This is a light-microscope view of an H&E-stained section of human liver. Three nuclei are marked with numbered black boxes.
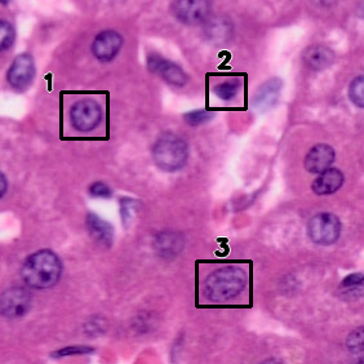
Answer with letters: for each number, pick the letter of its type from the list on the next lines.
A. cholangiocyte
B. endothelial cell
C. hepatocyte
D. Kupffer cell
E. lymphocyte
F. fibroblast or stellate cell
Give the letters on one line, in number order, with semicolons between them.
C; F; C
